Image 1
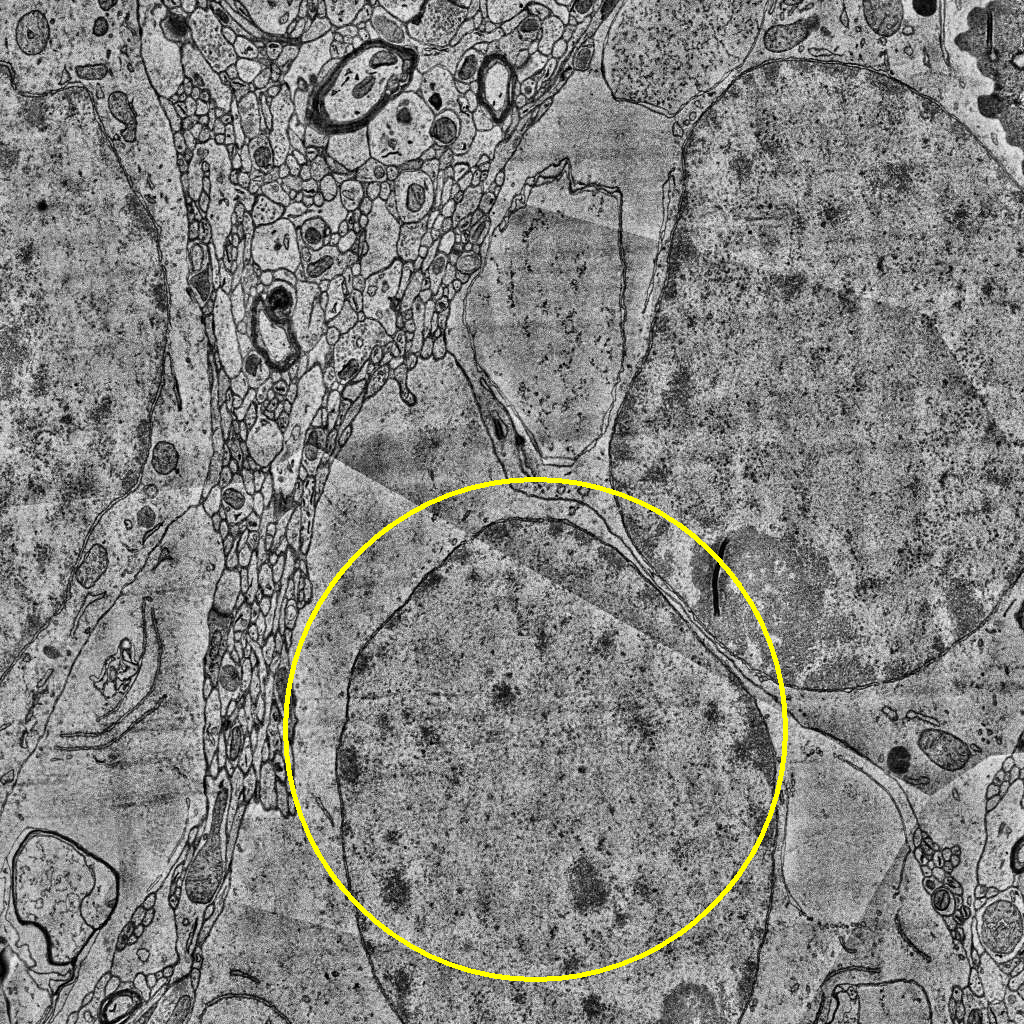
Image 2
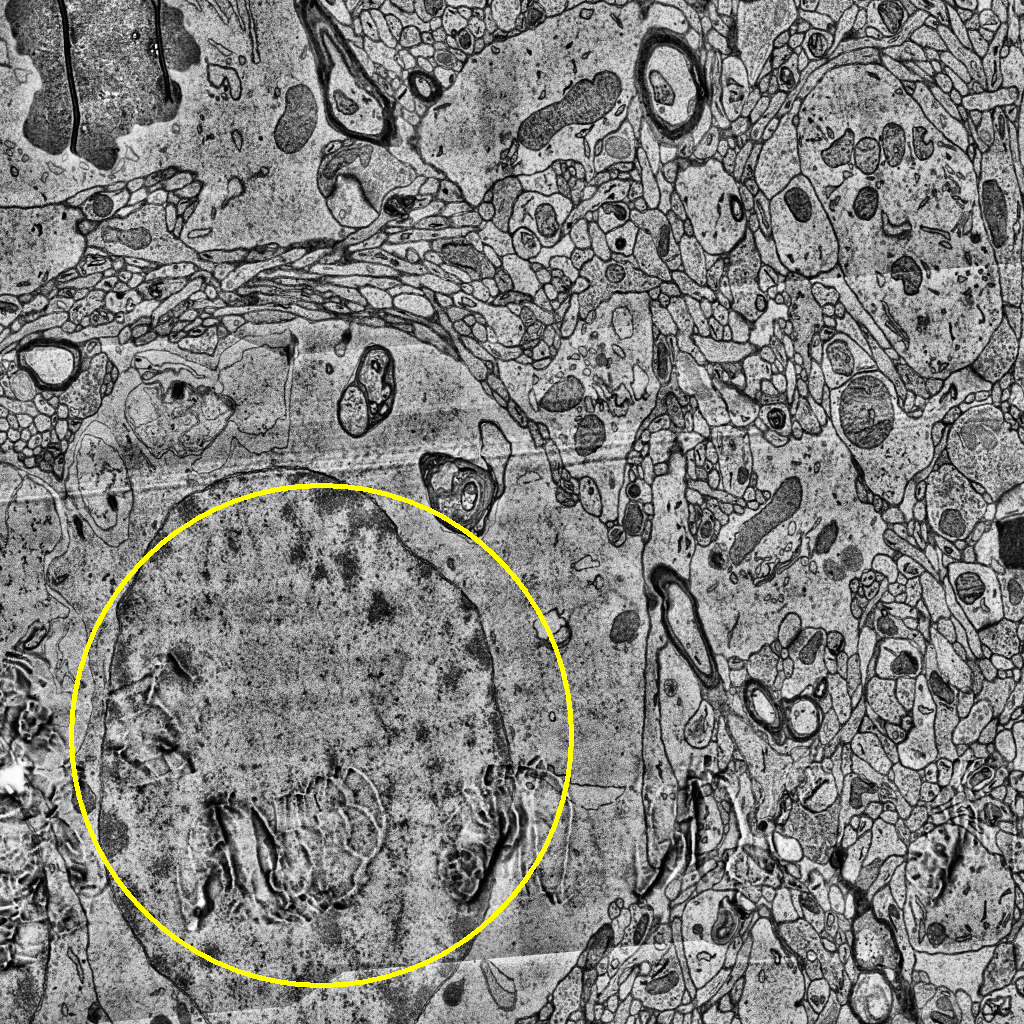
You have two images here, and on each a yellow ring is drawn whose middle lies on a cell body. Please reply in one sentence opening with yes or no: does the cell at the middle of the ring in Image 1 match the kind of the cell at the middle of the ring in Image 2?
Yes, the two images show cells of one kind at the centres of their rings.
